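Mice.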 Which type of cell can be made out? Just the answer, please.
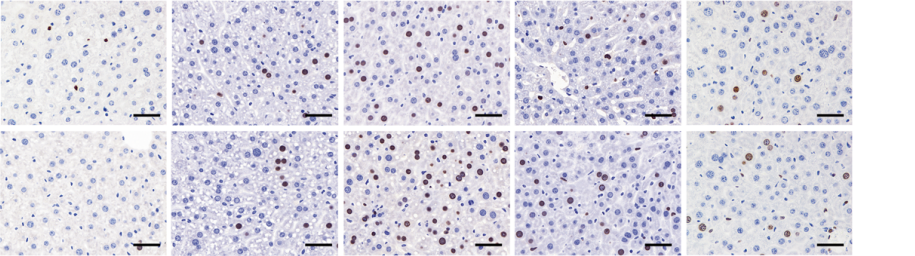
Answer: Hepatocyte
